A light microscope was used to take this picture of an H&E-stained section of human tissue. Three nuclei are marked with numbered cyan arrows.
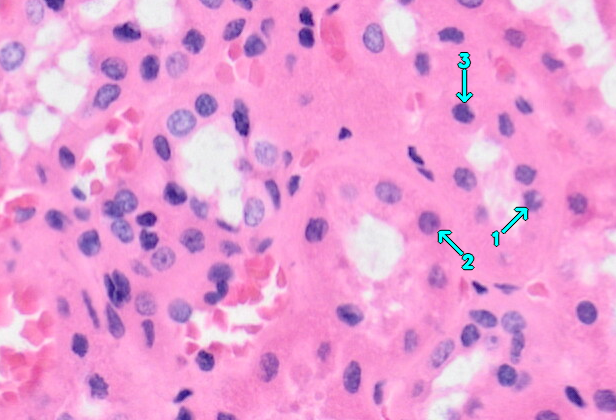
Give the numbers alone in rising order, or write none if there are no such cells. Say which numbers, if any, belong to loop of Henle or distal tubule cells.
1, 3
